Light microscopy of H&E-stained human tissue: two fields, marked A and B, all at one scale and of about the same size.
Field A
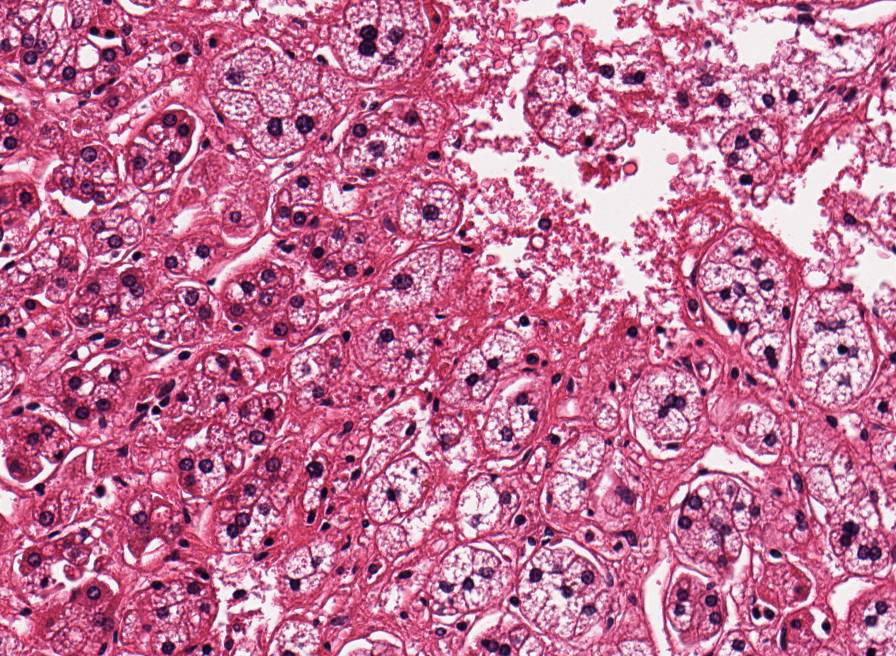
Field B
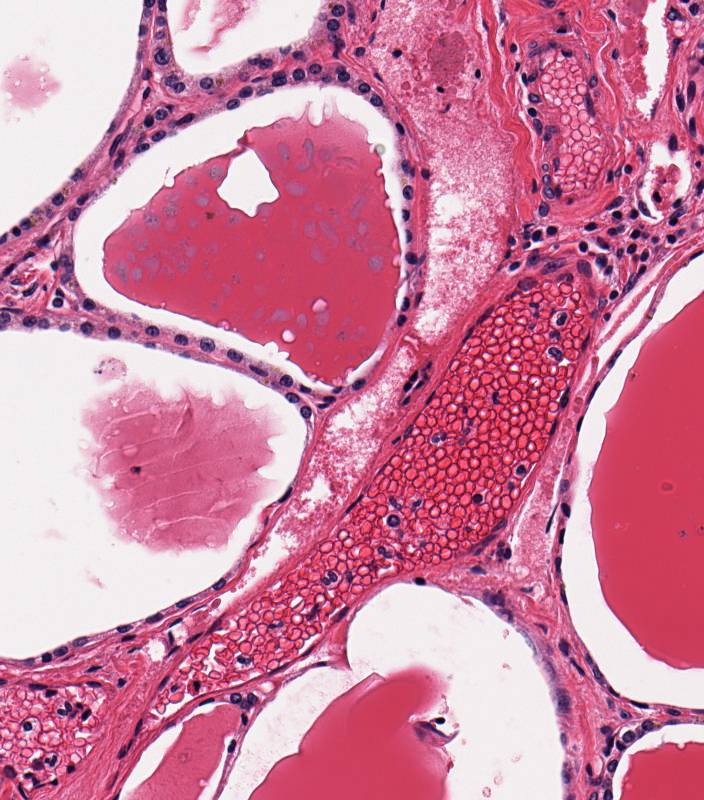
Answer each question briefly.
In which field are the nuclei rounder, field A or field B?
A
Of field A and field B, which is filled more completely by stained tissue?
A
